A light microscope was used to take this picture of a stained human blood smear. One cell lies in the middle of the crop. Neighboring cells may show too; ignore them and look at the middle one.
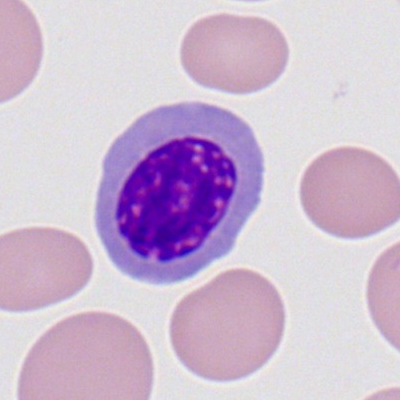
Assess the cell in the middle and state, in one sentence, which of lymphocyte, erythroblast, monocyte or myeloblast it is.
The cell featured at the centre of this crop is an erythroblast.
